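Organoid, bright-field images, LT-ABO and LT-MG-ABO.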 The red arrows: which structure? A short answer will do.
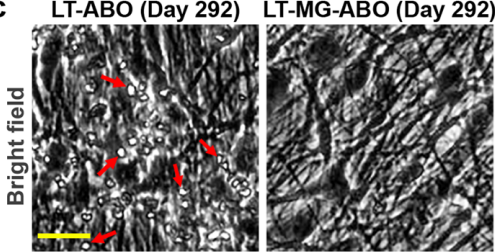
Cell debris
